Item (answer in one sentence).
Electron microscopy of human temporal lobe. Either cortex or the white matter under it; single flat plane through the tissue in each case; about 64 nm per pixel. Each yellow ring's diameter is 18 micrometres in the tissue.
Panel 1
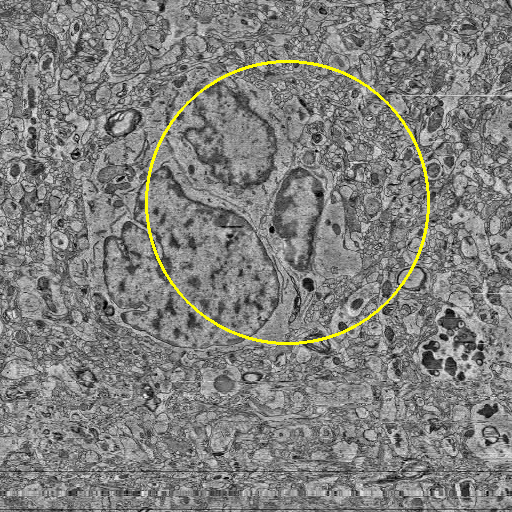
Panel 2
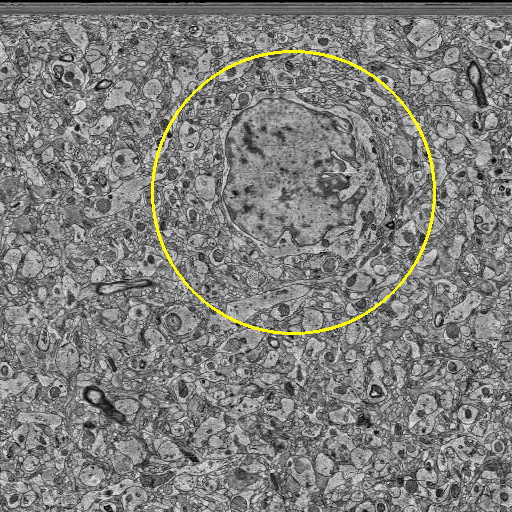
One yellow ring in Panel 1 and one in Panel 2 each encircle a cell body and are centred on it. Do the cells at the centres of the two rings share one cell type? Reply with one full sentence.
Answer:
Yes, Panel 1 and Panel 2 show cells of one type at the centres of their rings.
